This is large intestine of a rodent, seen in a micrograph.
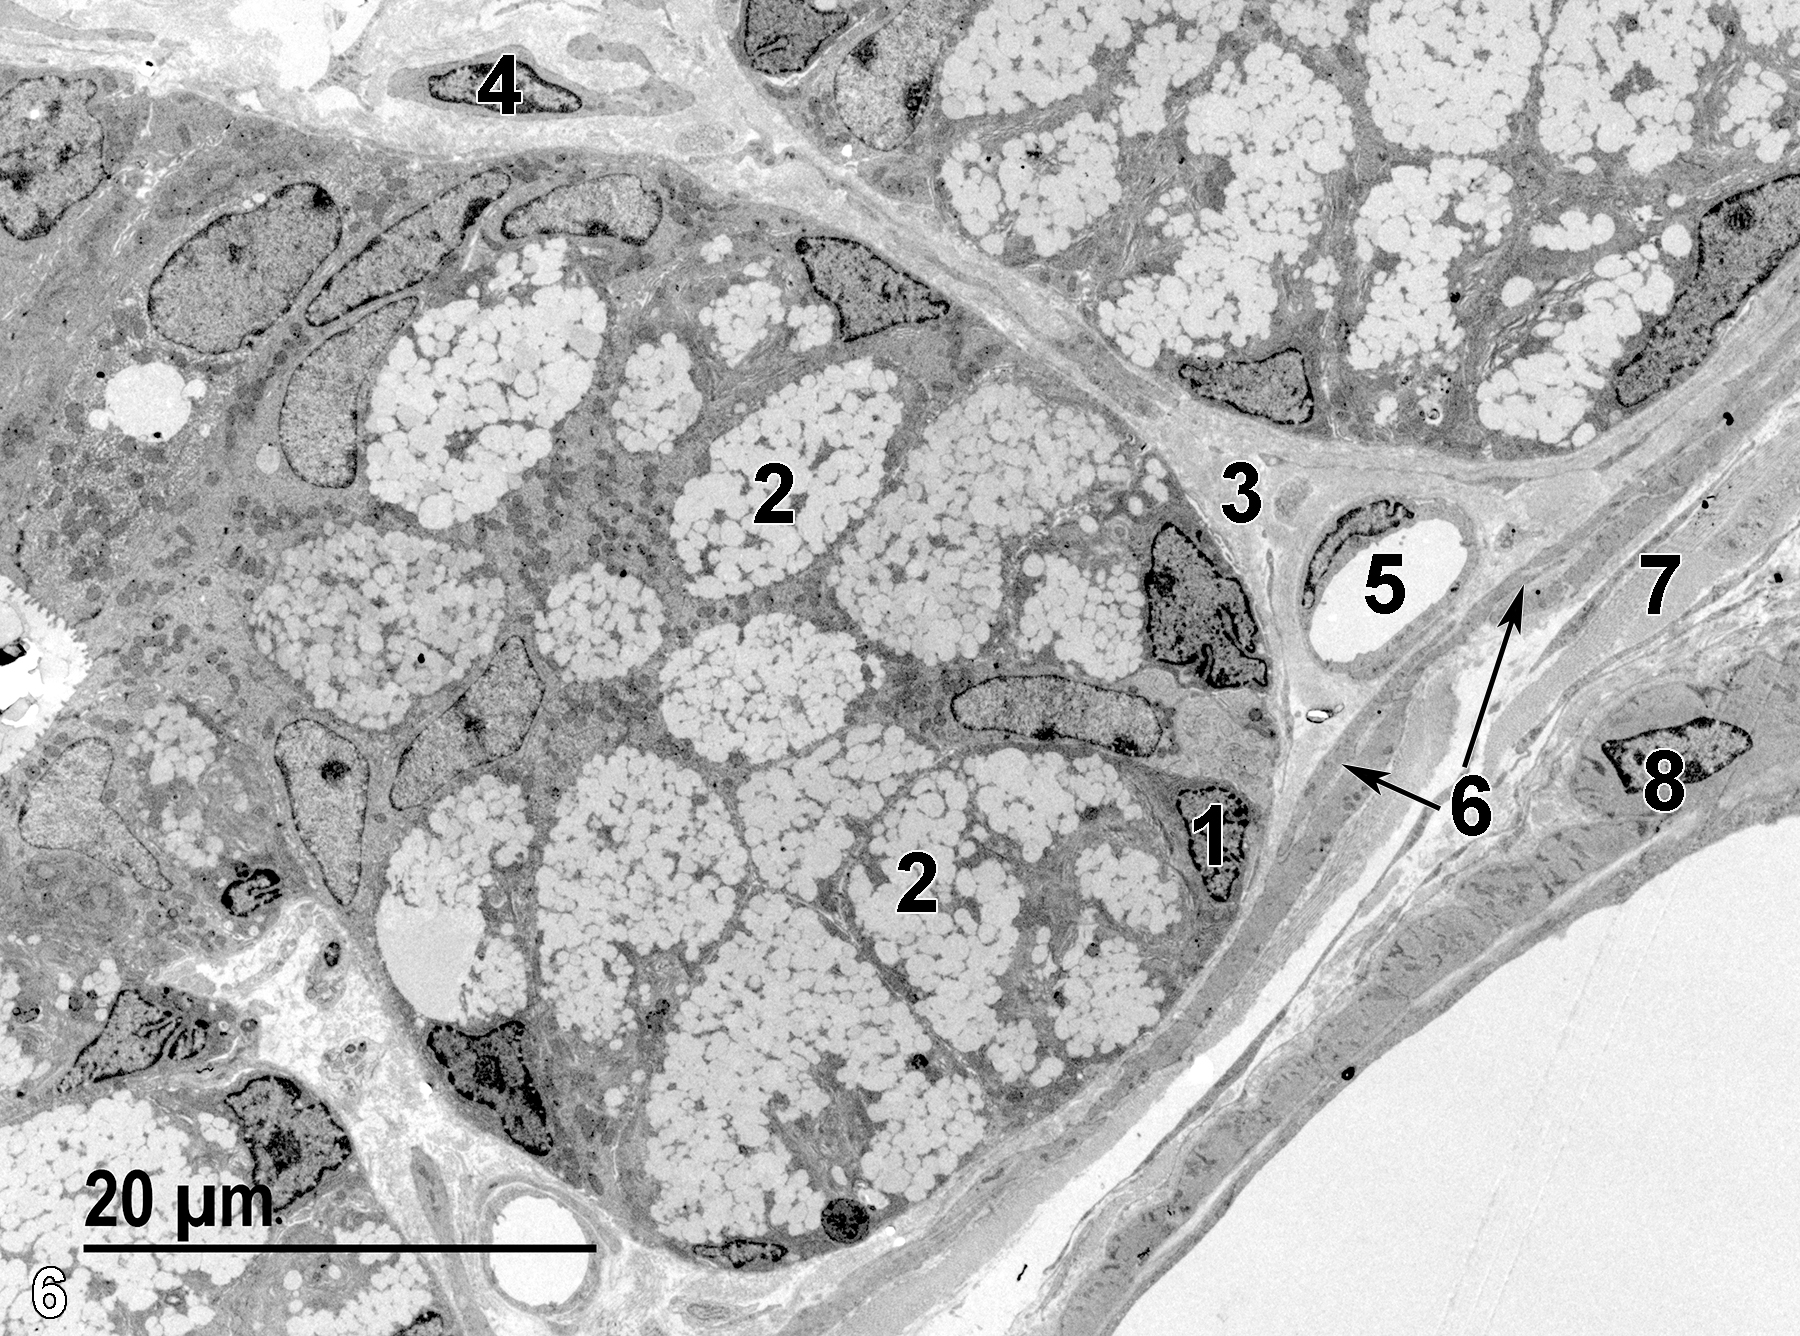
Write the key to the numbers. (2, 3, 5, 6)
(2) mucous droplets
(3) lamina propria
(5) capillary
(6) smooth muscle cells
